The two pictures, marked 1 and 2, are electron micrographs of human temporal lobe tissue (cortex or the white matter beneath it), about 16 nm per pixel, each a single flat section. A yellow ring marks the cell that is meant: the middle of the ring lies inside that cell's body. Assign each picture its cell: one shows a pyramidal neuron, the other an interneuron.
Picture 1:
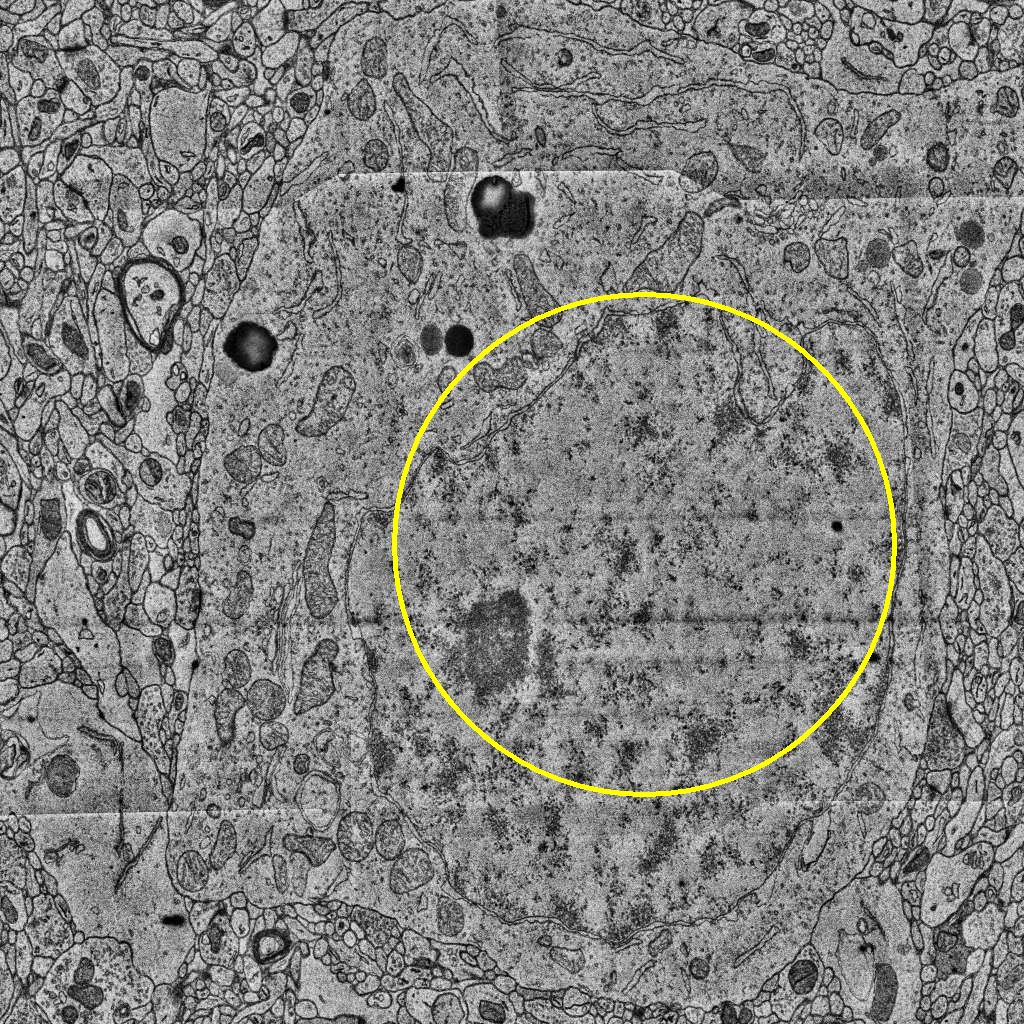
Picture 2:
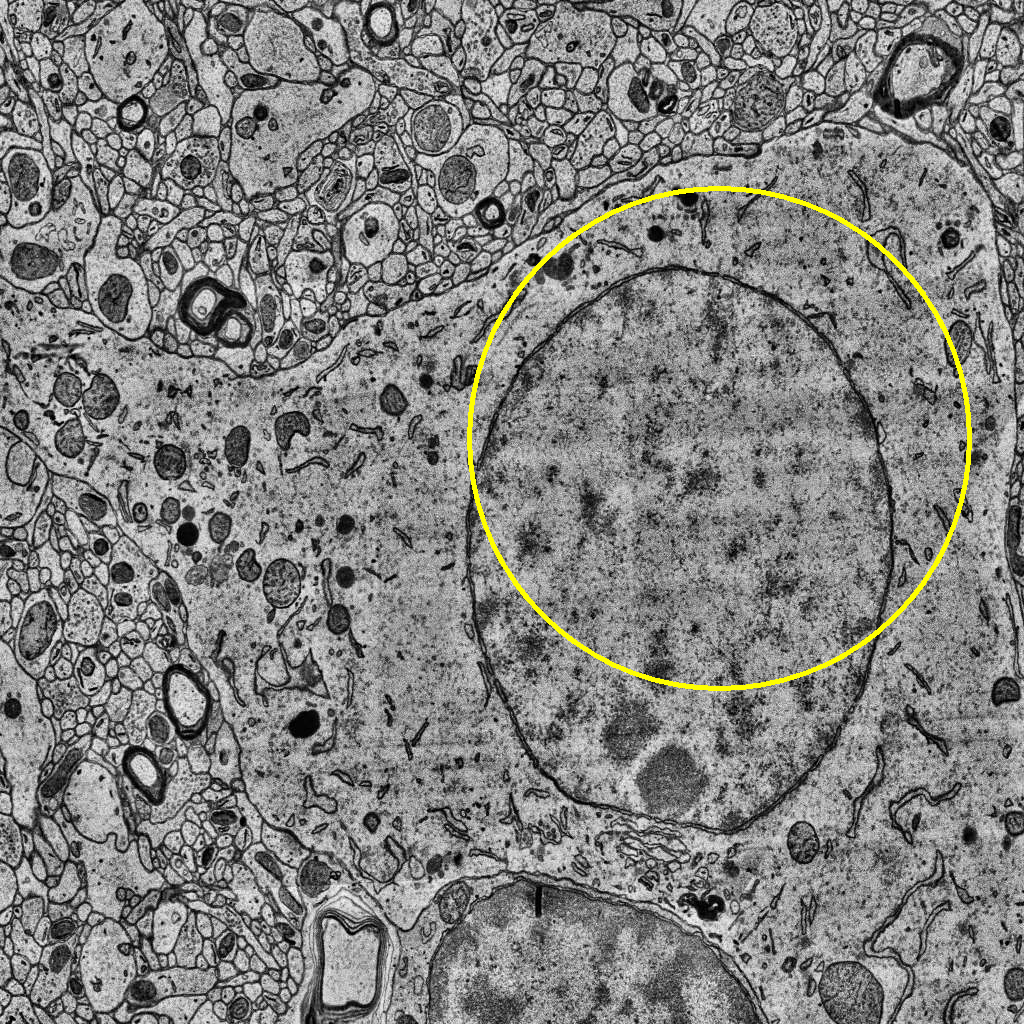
The cell in picture 1 is an interneuron, and the one in picture 2 is a pyramidal neuron.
